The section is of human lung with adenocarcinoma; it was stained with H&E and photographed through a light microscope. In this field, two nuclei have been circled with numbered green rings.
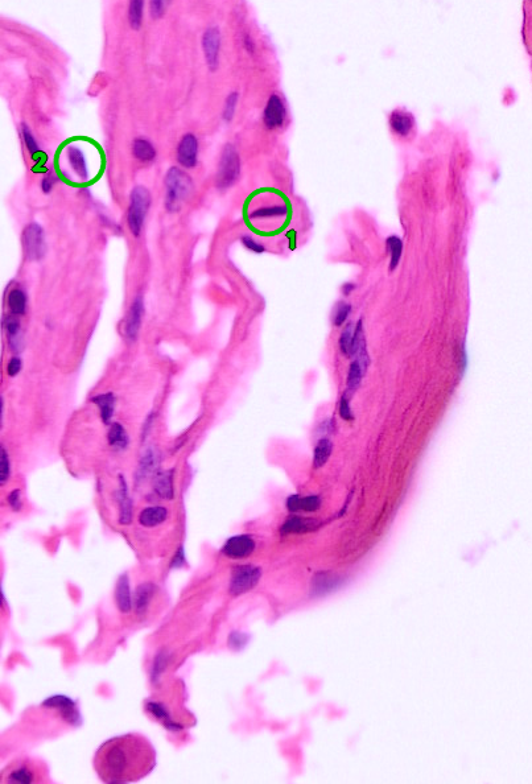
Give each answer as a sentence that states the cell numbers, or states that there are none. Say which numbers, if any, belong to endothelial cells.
Just the cell marked 1 is an endothelial cell; none of the other marked cells is.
